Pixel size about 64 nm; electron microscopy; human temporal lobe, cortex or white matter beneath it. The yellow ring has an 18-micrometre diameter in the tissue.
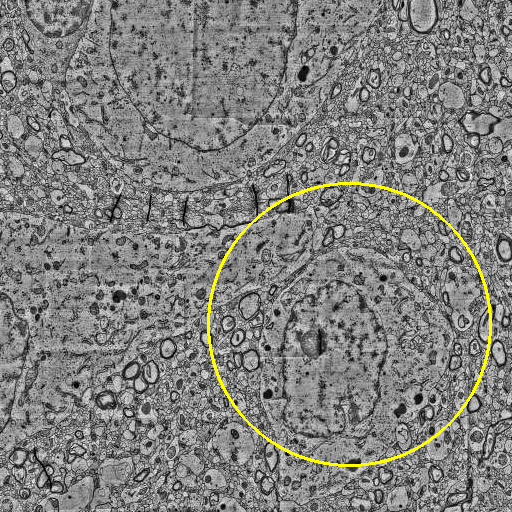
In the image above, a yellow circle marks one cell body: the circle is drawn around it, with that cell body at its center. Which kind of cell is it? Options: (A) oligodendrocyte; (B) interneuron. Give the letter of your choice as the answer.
B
